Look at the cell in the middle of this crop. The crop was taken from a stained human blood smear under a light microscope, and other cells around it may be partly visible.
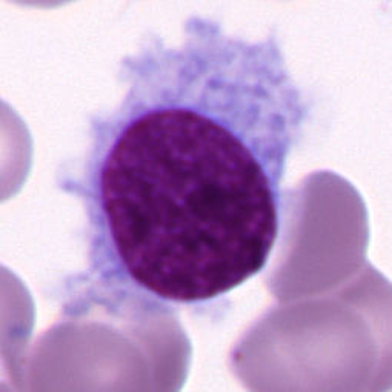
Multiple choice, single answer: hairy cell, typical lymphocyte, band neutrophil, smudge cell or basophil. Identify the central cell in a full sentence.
In this smear crop, the middle cell is a hairy cell.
